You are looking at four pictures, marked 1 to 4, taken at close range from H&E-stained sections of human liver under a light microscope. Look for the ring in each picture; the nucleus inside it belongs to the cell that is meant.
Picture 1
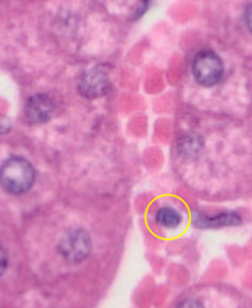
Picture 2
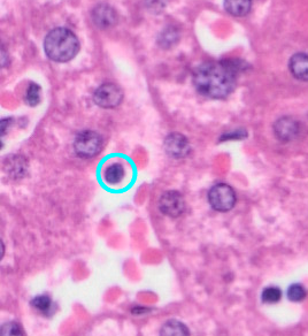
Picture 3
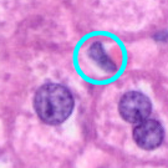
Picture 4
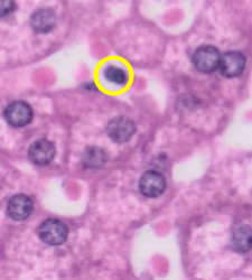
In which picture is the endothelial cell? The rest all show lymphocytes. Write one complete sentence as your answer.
The endothelial cell is the one in picture 3.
